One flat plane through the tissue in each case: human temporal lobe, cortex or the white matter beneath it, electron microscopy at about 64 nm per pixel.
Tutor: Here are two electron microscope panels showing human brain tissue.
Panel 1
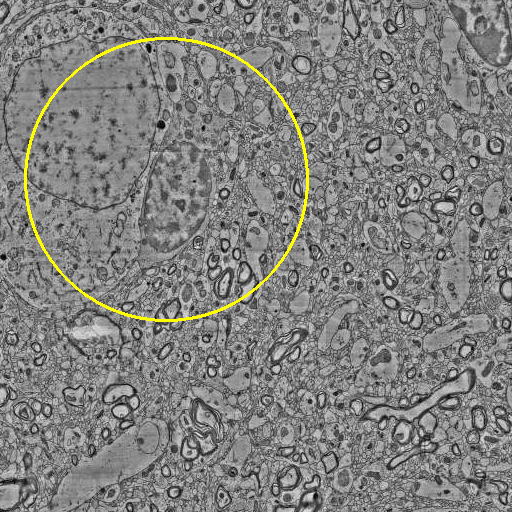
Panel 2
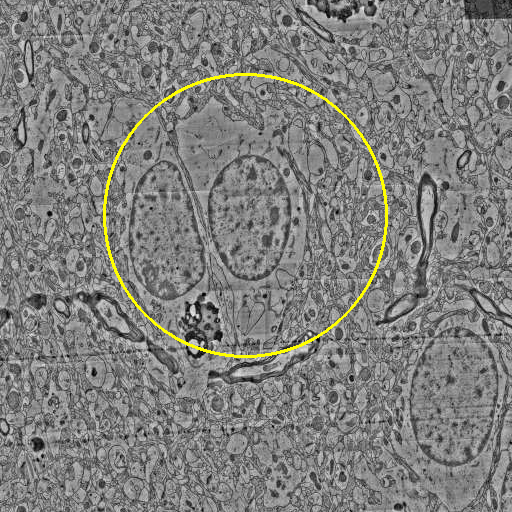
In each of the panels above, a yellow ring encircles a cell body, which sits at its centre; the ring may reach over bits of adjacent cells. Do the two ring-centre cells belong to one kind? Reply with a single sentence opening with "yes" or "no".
No, the two cells sitting at the ring centres in the panels belong to two kinds.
